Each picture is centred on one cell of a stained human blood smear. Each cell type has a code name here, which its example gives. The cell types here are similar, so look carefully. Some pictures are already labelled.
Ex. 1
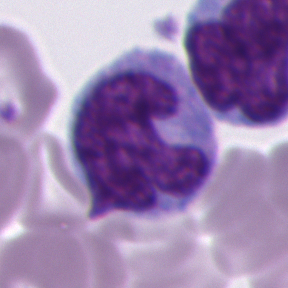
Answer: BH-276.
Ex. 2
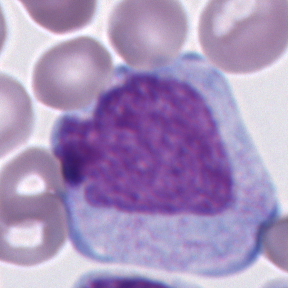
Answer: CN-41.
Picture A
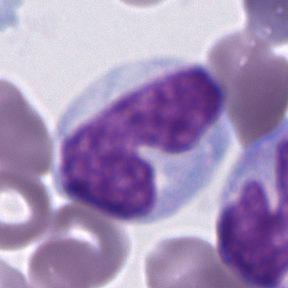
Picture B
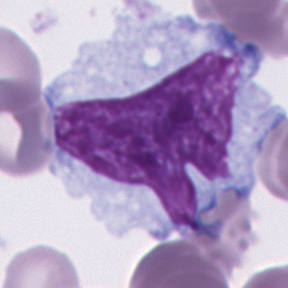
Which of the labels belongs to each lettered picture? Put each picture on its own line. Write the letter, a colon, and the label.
A: BH-276.
B: BH-276.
